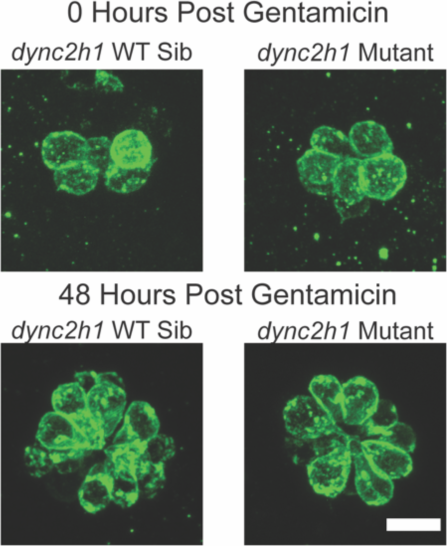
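These are four views of neuromasts, each a small cluster of sensory hair cells lit up in green. In the upper views only a handful of rounded to pear-shaped cells are gathered together, while in the lower views eight or more cells are packed into a rosette. In the rosettes the cells taper toward a shared centre, like petals of a flower seen from above. Each cell body shows a bright green rim with finer speckled green inside. The surrounding background is dark, with a few scattered green specks outside the clusters.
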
